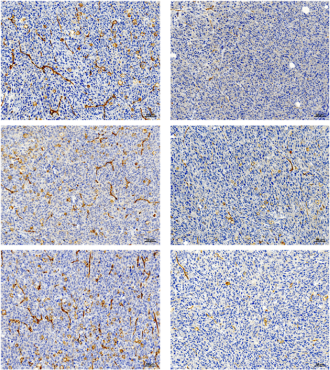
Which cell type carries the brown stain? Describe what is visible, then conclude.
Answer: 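Brown stain forms thin, branching, tube-like strands through the tissue. The brown strands outline narrow channels between densely packed blue nuclei. On this evidence: endothelial.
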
